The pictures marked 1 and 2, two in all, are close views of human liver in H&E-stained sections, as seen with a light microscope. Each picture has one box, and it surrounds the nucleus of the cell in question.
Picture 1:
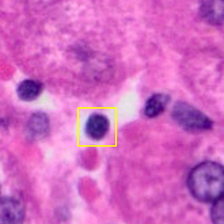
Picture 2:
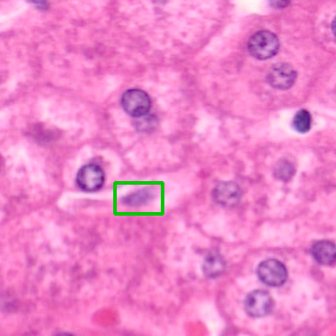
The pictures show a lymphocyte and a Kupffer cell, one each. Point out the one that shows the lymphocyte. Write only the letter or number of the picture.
1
